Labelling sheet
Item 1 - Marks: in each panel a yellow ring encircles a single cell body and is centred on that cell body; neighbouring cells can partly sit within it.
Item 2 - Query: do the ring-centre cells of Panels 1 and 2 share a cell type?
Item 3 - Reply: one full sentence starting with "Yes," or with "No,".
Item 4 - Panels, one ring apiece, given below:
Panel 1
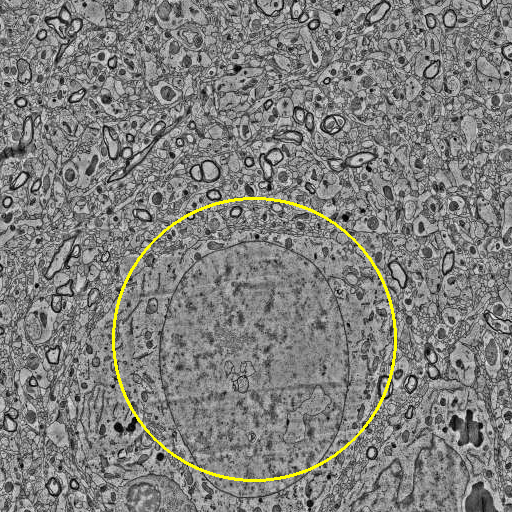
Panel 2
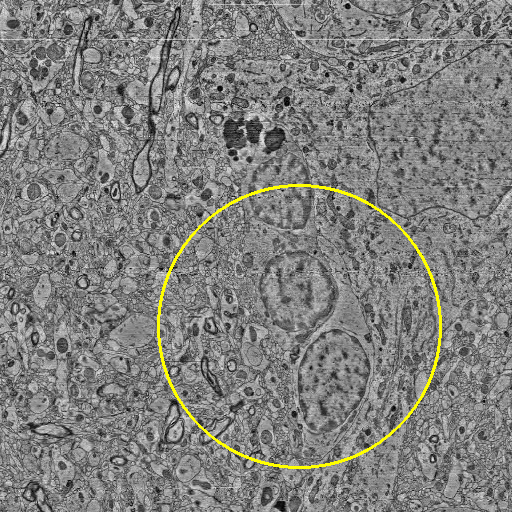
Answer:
No, Panel 1 and Panel 2 show two cell types at the centres of their rings.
